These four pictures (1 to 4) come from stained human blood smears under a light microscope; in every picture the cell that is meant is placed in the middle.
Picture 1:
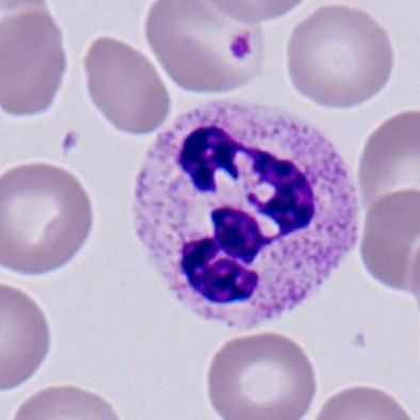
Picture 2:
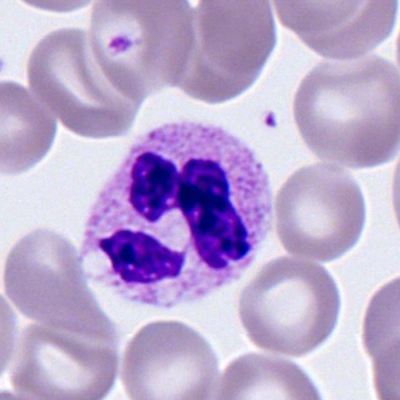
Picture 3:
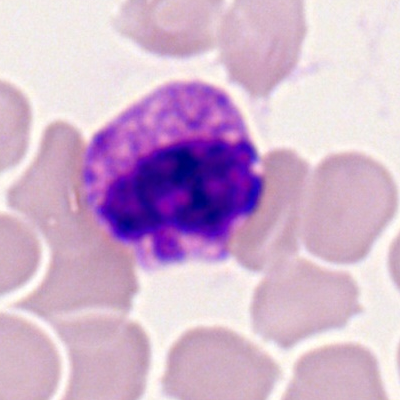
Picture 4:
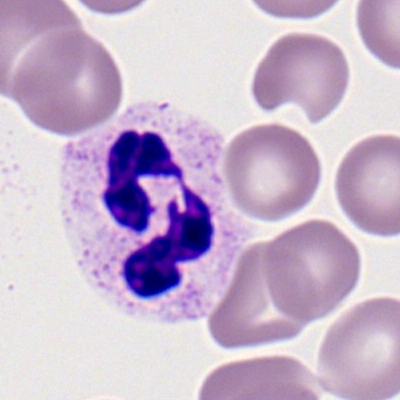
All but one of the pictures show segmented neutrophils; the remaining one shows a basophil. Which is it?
3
